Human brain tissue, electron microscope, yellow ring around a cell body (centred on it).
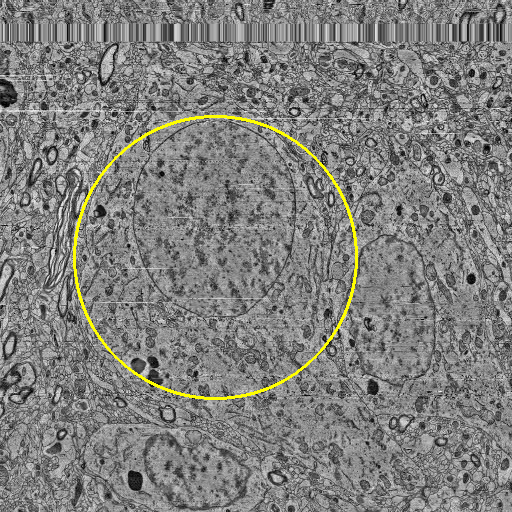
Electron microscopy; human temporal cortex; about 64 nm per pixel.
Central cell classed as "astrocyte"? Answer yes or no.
no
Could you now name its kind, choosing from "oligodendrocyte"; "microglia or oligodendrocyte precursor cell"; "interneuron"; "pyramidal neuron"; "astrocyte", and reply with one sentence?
This picture has a pyramidal neuron at the centre of its ring.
